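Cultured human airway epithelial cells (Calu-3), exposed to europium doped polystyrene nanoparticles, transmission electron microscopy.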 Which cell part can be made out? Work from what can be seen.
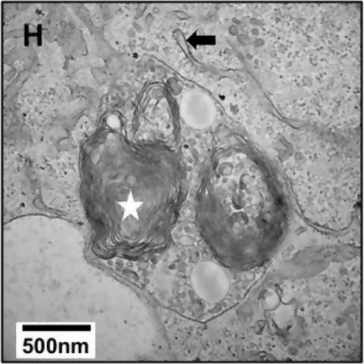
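A large membrane-bound compartment encloses two lamellated bodies, round pale particles and small granules.
Conclusion: Autophagosome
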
